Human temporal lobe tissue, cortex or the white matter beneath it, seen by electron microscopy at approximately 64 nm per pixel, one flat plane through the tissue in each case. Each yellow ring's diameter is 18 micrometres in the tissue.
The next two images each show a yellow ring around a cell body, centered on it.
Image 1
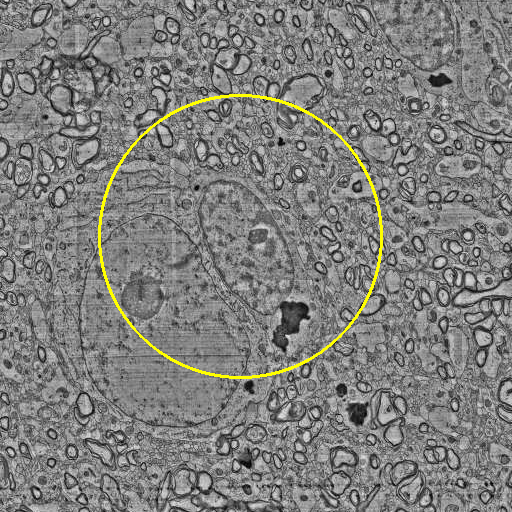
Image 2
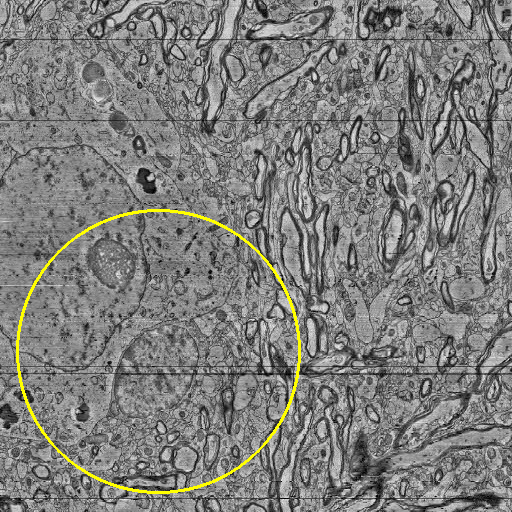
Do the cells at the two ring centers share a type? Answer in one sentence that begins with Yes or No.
Yes, across the two images the cells at the ring centers share one type.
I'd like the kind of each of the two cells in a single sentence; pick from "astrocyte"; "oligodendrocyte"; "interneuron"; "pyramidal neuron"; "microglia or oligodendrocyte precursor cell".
Both cells are the same kind, each one being an oligodendrocyte.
